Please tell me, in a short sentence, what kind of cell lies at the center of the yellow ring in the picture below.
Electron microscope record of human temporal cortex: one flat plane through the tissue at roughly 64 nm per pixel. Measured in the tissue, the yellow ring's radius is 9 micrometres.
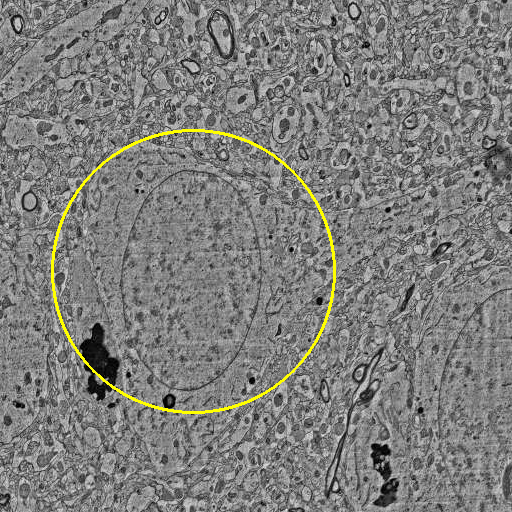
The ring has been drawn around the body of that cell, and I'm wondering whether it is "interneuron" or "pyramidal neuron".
The cell at the center of the ring is a pyramidal neuron.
